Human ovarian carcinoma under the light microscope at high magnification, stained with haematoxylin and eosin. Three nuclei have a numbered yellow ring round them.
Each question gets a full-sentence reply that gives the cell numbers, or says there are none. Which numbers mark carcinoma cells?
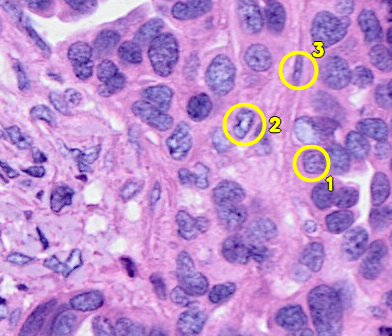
Cell 1 is a carcinoma cell, and it is the only one.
